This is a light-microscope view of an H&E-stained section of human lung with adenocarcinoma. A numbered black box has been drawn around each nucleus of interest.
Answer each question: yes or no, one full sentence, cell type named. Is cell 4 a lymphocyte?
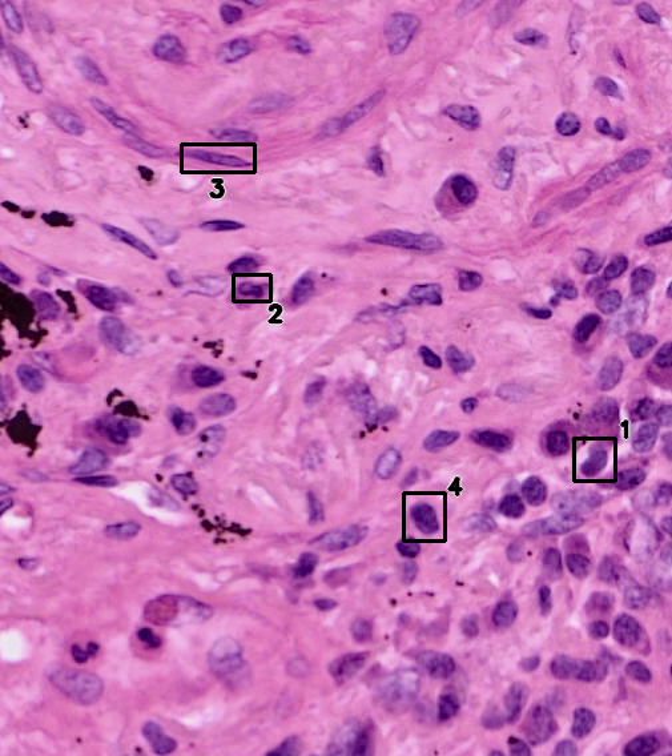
Yes, kindly take note: the cell numbered 4 is a lymphocyte.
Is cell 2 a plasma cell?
Yes, the cell that bears number 2 is a plasma cell.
